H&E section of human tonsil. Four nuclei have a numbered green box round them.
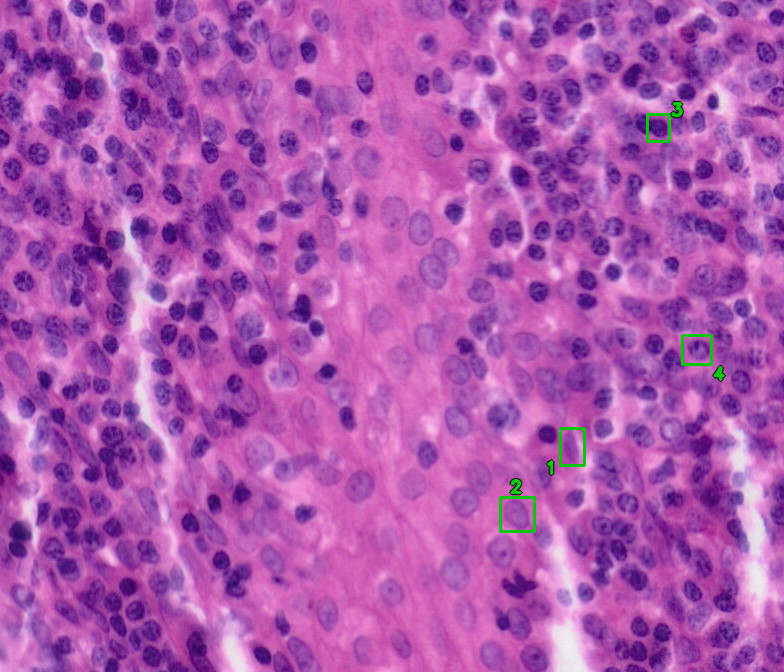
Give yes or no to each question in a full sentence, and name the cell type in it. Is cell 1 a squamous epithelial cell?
Yes, the cell tagged with number 1 is a squamous epithelial cell.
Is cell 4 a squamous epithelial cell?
No, the cell at number 4 is a plasma cell instead of a squamous epithelial cell.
